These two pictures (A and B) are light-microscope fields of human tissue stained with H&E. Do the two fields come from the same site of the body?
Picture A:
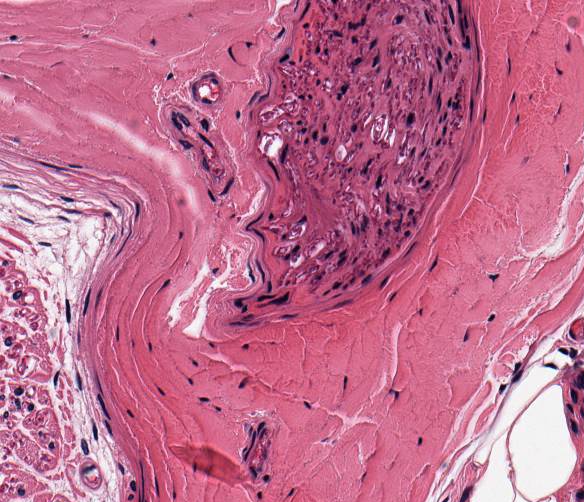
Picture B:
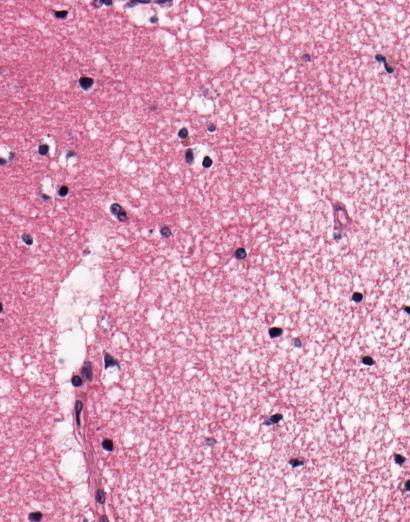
no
